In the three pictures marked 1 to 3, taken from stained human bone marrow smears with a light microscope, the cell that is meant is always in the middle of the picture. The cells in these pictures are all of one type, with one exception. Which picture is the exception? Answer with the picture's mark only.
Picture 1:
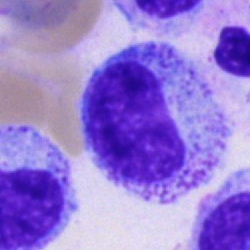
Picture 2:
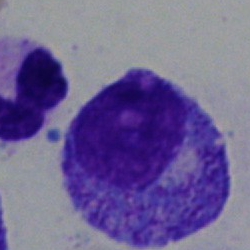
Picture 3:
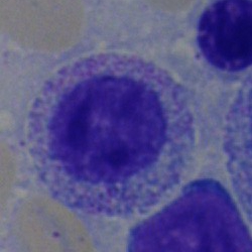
2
